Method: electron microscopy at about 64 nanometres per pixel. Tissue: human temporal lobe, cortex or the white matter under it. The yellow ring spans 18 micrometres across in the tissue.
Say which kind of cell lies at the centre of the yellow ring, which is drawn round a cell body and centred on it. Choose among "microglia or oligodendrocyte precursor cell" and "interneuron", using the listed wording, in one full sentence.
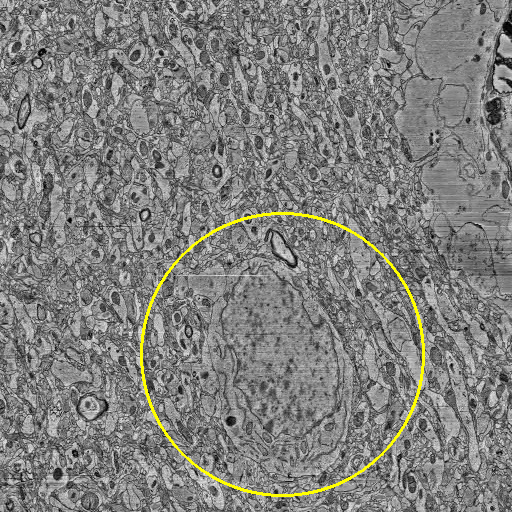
Going by the list, the cell at the yellow ring's centre is an interneuron.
